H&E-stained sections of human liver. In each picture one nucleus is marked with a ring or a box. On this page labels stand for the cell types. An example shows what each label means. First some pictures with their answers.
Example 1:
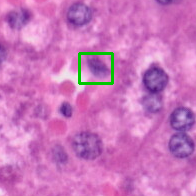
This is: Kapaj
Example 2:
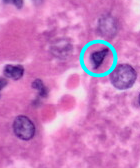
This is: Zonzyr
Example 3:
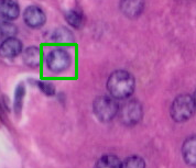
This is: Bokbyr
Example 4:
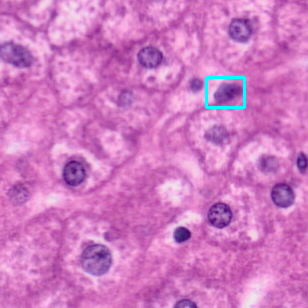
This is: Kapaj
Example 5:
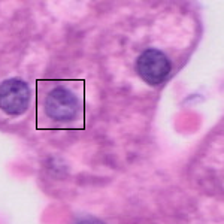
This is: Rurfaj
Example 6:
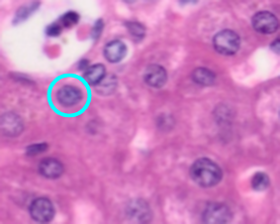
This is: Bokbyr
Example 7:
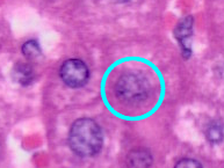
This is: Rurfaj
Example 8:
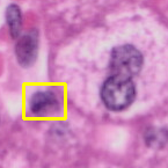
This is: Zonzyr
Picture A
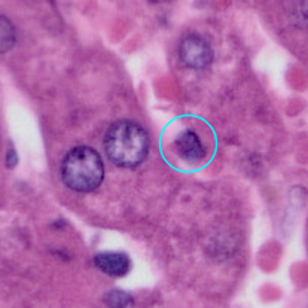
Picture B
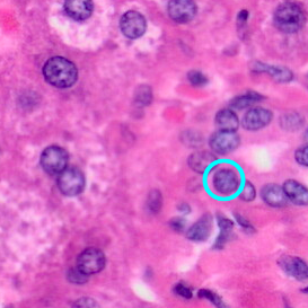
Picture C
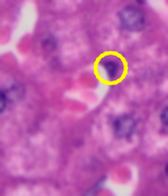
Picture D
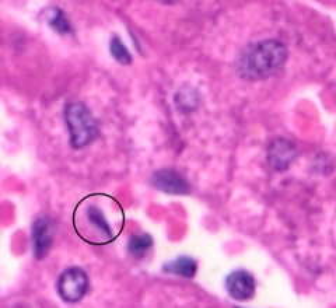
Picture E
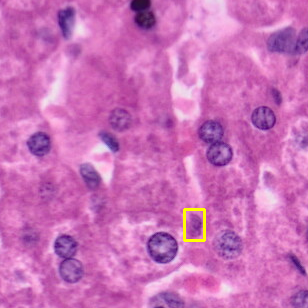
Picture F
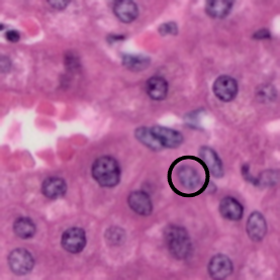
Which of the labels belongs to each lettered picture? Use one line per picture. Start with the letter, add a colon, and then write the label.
A: Kapaj
B: Bokbyr
C: Zonzyr
D: Kapaj
E: Kapaj
F: Bokbyr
